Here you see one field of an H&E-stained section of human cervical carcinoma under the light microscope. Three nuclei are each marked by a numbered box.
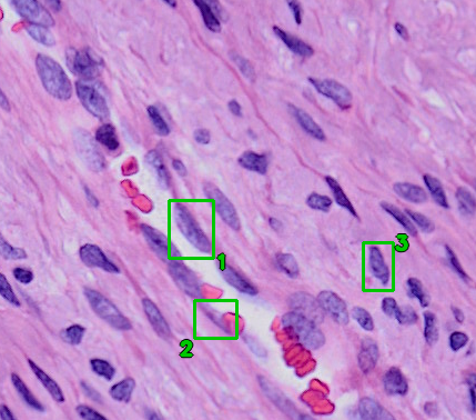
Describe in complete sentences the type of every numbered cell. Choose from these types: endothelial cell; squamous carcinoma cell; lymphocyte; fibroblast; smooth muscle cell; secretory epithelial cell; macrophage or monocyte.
Cells 1 and 2 are endothelial cells. Cell 3 is a fibroblast.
